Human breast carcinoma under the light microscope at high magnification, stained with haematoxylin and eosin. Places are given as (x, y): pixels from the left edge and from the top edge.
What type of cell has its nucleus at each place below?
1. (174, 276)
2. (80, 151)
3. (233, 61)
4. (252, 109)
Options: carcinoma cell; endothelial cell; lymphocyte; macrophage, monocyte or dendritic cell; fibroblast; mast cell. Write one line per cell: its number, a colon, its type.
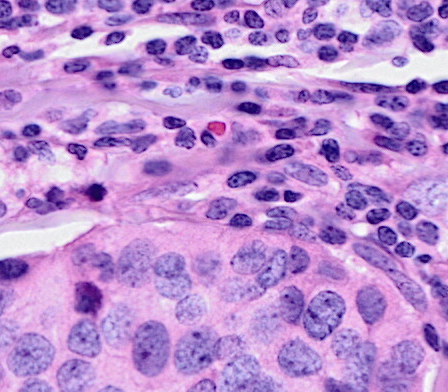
1: carcinoma cell
2: lymphocyte
3: lymphocyte
4: lymphocyte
